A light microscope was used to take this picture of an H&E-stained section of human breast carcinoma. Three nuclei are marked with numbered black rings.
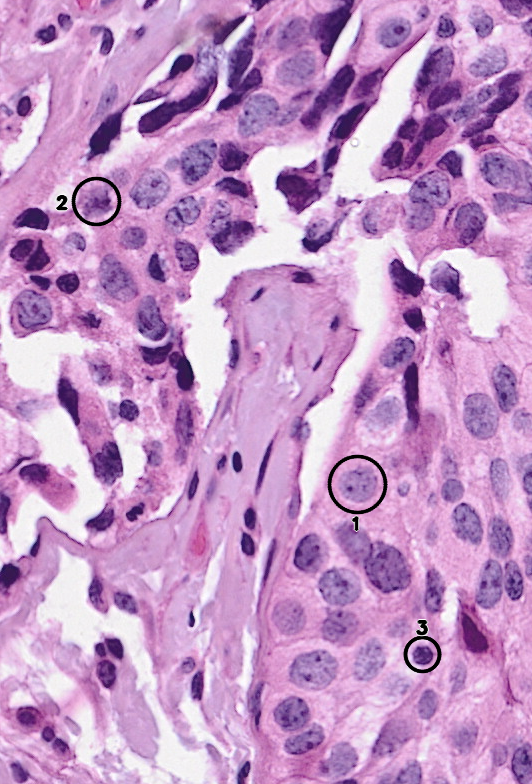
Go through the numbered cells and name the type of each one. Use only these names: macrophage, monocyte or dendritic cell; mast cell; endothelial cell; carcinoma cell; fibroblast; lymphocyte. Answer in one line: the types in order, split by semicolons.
carcinoma cell; carcinoma cell; lymphocyte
